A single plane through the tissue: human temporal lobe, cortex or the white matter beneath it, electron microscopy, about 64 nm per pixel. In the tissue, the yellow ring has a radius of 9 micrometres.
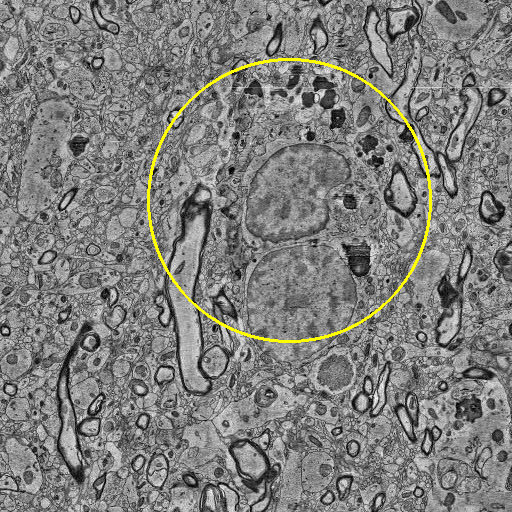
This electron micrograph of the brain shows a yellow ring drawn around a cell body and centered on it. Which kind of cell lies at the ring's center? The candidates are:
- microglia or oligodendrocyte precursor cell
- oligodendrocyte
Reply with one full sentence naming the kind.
The cell lying at the ring's center in this micrograph is an oligodendrocyte.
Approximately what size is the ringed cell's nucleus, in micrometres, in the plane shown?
In this plane, approximately 8 by 6 micrometers.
